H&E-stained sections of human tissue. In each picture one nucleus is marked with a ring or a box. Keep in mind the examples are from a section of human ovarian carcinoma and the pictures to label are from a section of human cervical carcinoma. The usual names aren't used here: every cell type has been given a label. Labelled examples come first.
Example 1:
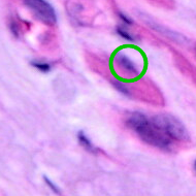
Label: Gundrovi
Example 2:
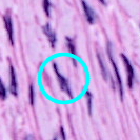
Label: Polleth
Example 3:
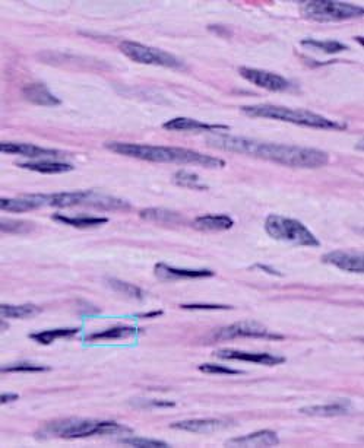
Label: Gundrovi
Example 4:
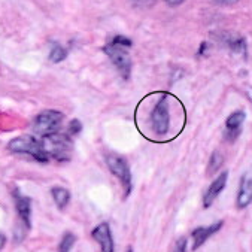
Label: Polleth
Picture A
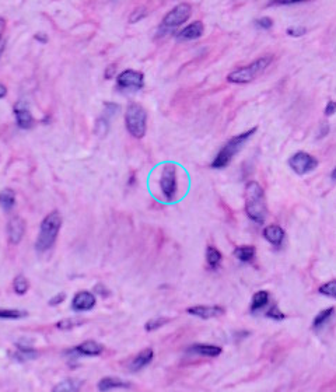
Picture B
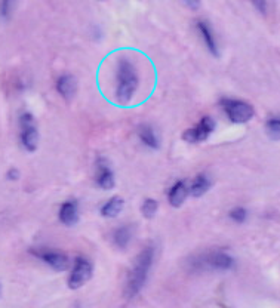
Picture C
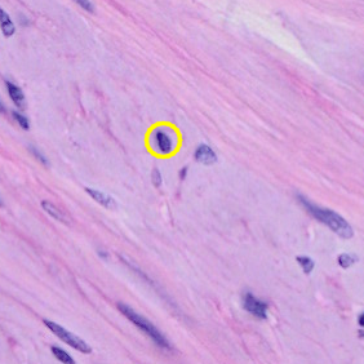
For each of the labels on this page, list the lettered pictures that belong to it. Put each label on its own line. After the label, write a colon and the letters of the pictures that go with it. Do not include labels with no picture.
Gundrovi: A
Polleth: B, C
